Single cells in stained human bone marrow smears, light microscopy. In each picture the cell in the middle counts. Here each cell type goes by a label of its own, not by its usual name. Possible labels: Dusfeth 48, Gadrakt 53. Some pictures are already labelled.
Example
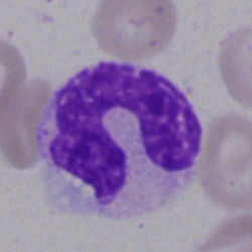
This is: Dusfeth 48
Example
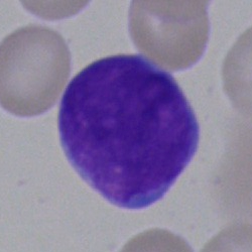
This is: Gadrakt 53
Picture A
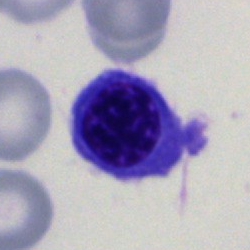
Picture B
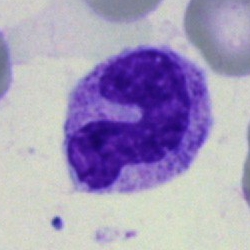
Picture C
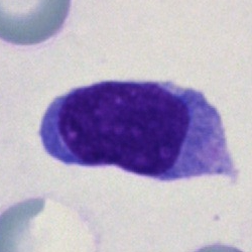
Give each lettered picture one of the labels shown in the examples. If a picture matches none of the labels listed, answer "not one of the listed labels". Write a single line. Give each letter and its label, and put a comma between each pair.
A not one of the listed labels, B Dusfeth 48, C Gadrakt 53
